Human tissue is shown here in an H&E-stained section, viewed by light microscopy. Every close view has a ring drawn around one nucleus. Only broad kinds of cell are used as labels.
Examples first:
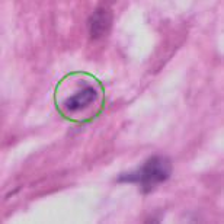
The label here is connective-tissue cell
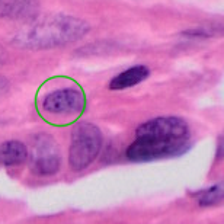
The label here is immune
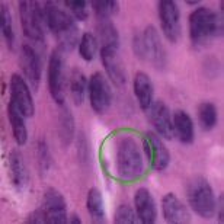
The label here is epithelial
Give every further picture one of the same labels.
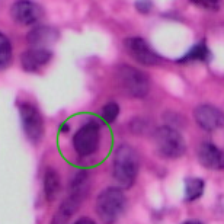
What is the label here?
epithelial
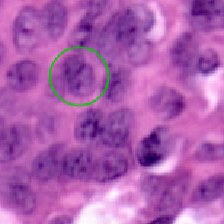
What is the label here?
epithelial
